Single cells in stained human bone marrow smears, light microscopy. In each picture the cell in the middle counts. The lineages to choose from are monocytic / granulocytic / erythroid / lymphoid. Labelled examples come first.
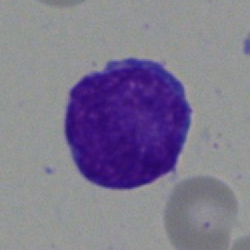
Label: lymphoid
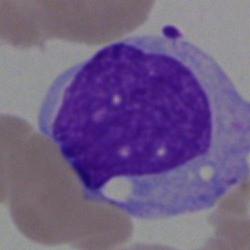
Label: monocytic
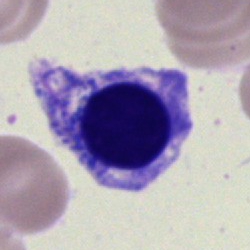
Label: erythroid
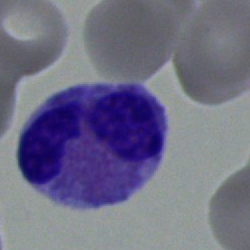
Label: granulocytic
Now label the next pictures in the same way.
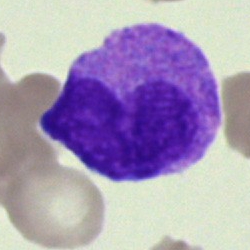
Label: granulocytic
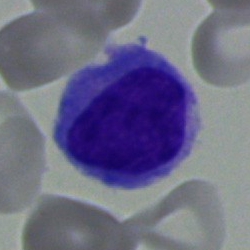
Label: monocytic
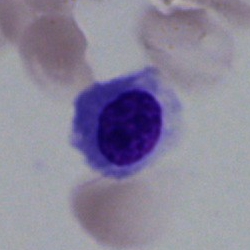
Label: erythroid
